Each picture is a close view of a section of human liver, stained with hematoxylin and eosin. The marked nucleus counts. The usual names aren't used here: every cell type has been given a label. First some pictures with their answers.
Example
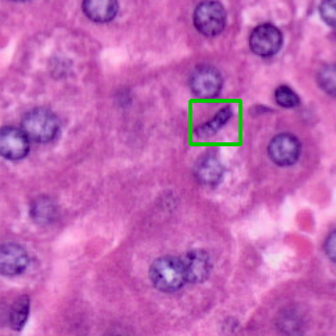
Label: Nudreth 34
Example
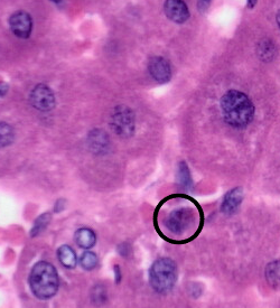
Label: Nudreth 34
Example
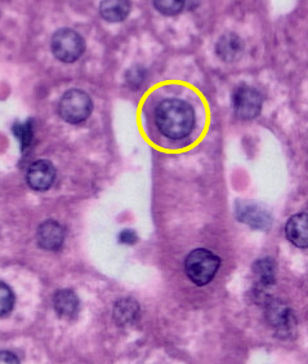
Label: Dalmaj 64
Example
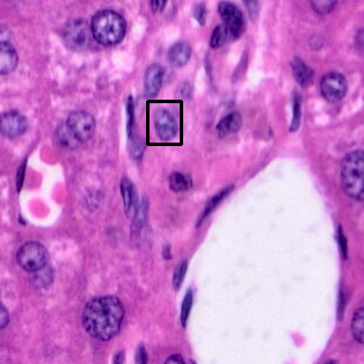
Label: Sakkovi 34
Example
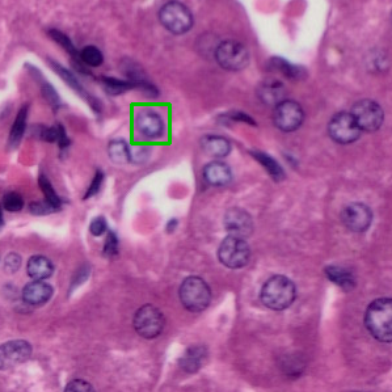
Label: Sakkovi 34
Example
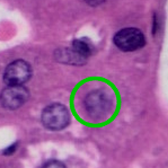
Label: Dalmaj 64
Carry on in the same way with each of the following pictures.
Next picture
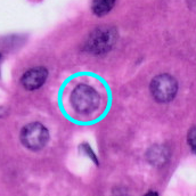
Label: Dalmaj 64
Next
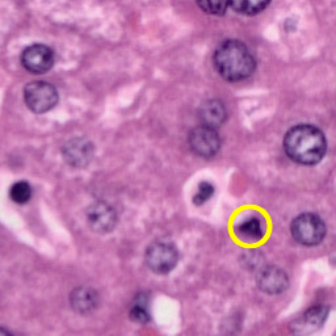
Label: Nudreth 34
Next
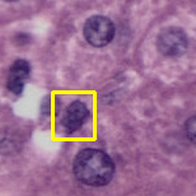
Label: Nudreth 34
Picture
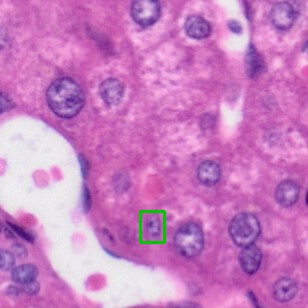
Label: Sakkovi 34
